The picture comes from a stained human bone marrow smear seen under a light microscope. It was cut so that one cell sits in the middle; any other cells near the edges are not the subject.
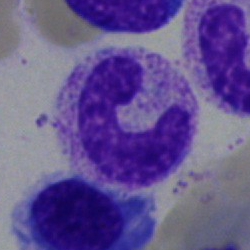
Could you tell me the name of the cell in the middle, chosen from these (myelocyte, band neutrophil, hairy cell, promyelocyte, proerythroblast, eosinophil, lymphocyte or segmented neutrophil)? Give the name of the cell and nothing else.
band neutrophil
